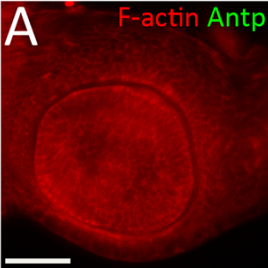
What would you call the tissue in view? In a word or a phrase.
antennal imaginal disc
